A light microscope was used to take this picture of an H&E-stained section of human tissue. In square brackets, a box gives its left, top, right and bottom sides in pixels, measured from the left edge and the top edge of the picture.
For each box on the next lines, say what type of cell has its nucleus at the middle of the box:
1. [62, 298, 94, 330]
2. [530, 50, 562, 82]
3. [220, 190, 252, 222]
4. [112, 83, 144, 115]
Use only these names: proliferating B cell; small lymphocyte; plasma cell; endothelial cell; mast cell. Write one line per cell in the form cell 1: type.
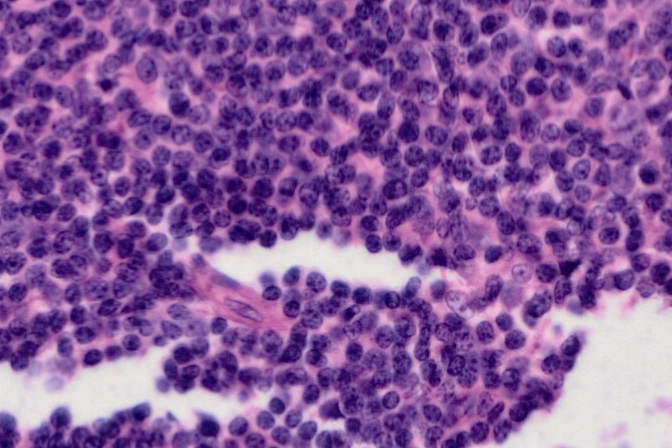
cell 1: small lymphocyte
cell 2: small lymphocyte
cell 3: small lymphocyte
cell 4: proliferating B cell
